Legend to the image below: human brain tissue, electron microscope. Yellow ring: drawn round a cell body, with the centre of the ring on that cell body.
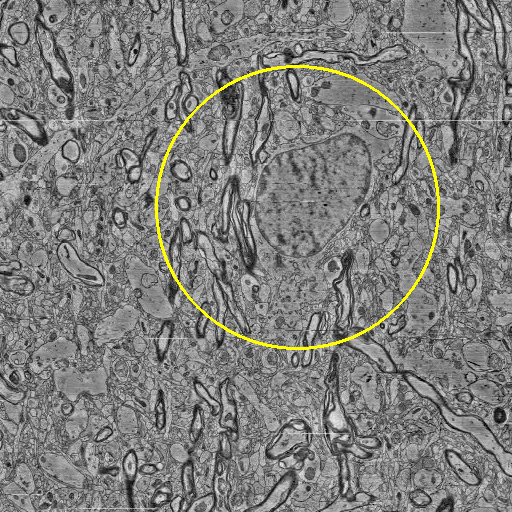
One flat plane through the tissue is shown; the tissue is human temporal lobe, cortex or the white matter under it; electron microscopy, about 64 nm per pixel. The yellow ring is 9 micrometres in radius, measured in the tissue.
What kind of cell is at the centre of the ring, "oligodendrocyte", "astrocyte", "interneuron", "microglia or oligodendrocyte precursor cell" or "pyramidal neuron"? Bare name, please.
microglia or oligodendrocyte precursor cell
